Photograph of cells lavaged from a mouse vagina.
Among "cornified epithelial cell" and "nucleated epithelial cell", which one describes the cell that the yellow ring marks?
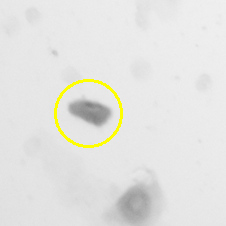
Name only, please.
cornified epithelial cell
